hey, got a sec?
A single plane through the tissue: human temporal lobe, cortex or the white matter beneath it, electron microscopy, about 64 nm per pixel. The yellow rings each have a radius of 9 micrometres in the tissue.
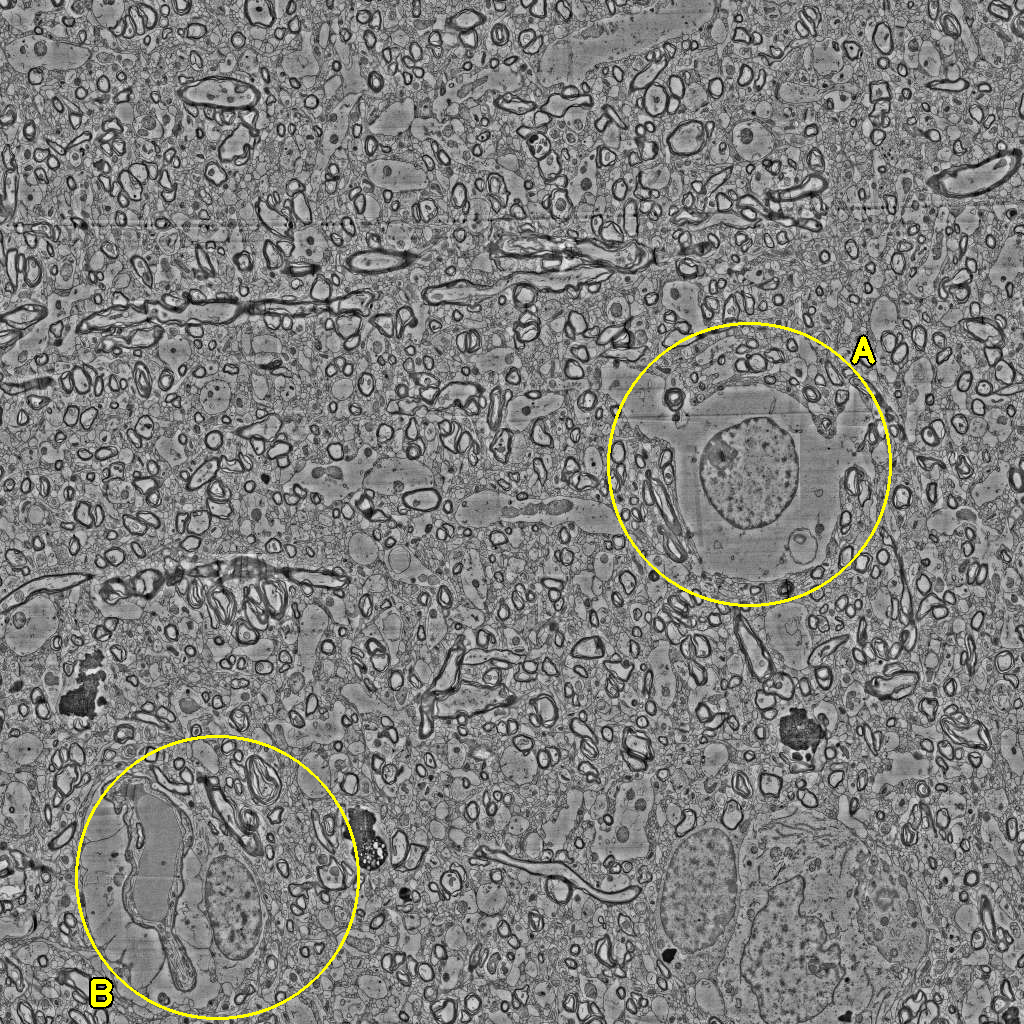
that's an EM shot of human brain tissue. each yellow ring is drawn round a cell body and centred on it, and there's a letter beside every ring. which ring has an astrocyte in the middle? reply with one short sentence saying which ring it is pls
Ring A is the one centred on it.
